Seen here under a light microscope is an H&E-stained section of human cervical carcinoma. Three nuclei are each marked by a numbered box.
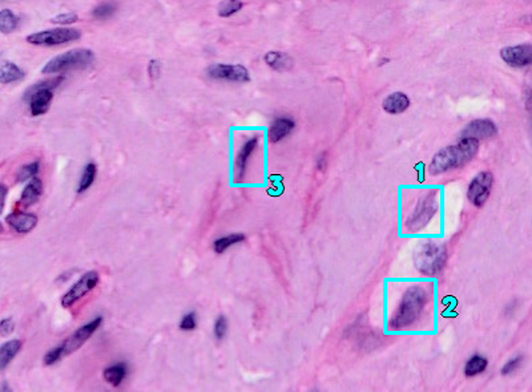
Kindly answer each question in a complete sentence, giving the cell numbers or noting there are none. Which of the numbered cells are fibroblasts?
Where the numbered cells are concerned, only number 3 is a fibroblast.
